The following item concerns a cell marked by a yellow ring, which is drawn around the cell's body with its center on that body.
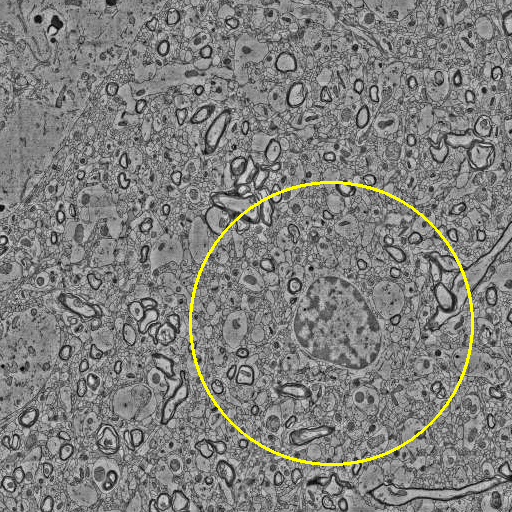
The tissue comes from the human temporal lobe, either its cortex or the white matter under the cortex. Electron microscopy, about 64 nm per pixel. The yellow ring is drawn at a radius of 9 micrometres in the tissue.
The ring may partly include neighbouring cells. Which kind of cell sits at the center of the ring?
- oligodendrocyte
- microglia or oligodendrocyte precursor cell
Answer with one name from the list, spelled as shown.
microglia or oligodendrocyte precursor cell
